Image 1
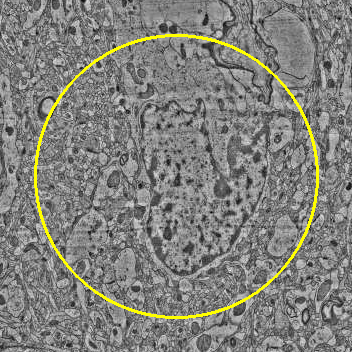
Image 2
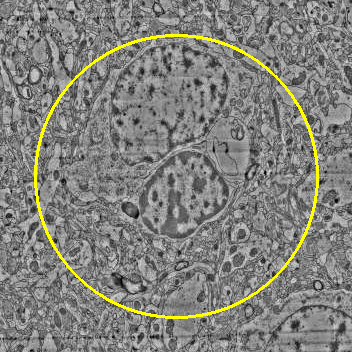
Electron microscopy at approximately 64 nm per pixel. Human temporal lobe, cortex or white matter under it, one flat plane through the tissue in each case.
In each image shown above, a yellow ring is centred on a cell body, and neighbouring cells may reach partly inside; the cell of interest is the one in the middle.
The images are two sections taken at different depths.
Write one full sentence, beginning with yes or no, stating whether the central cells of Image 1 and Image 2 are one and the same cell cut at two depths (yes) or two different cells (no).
No, within the two rings lie two different cells.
